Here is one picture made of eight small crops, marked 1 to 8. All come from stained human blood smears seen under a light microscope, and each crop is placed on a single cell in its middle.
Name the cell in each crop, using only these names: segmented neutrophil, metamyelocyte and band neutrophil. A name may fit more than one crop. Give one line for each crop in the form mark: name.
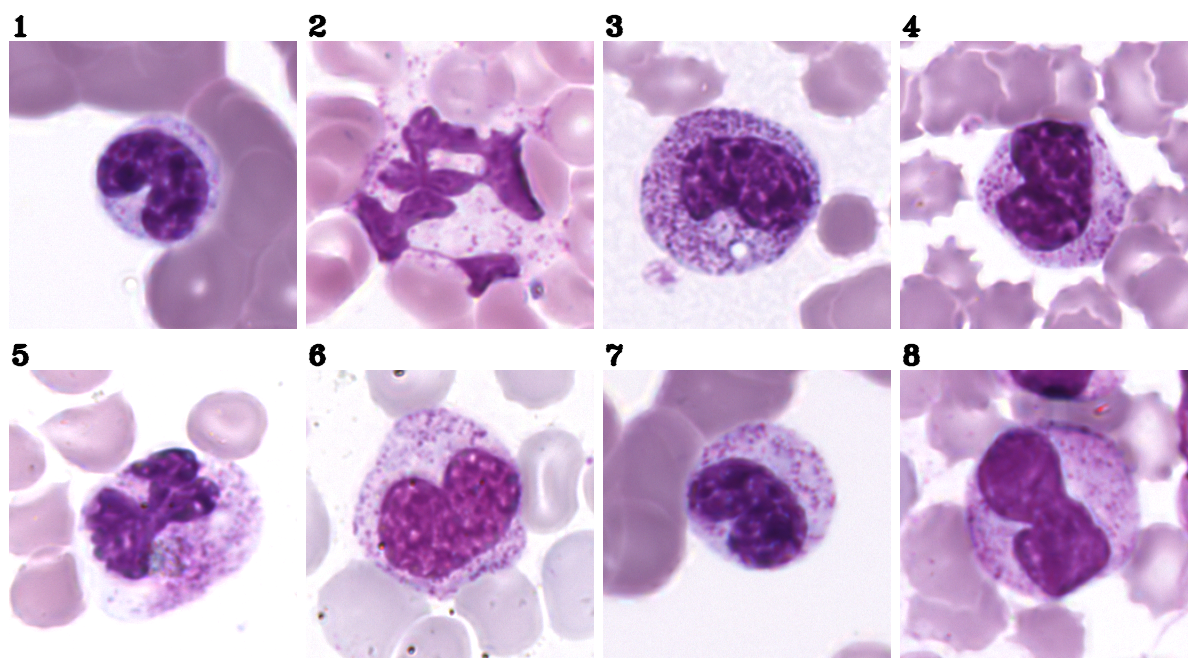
1: band neutrophil
2: segmented neutrophil
3: metamyelocyte
4: metamyelocyte
5: segmented neutrophil
6: band neutrophil
7: band neutrophil
8: band neutrophil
